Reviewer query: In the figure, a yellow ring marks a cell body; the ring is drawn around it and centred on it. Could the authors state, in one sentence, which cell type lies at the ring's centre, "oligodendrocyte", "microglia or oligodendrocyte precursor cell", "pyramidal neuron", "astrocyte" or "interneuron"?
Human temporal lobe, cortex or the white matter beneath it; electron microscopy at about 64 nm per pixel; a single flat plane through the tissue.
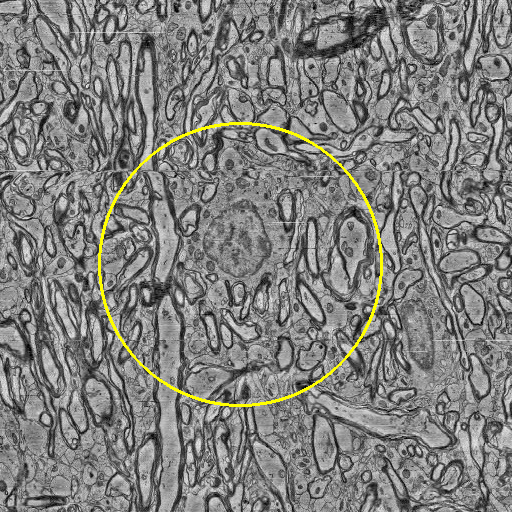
The ring is centred on an oligodendrocyte.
